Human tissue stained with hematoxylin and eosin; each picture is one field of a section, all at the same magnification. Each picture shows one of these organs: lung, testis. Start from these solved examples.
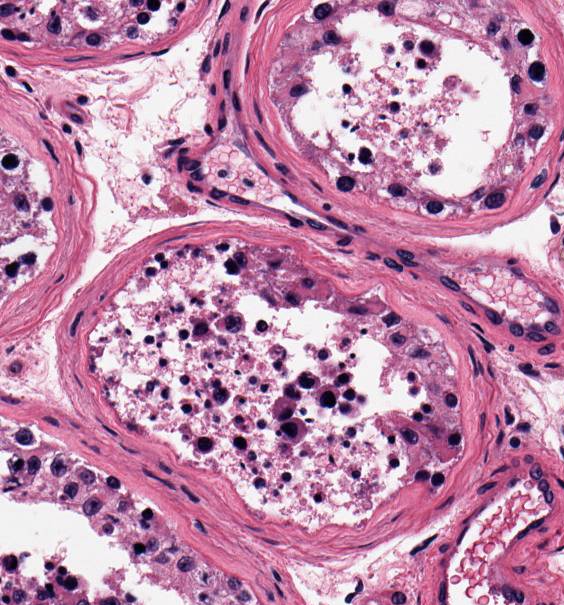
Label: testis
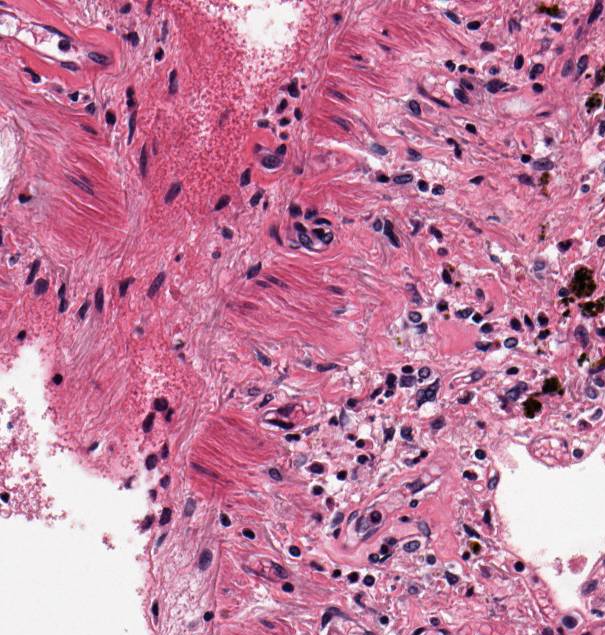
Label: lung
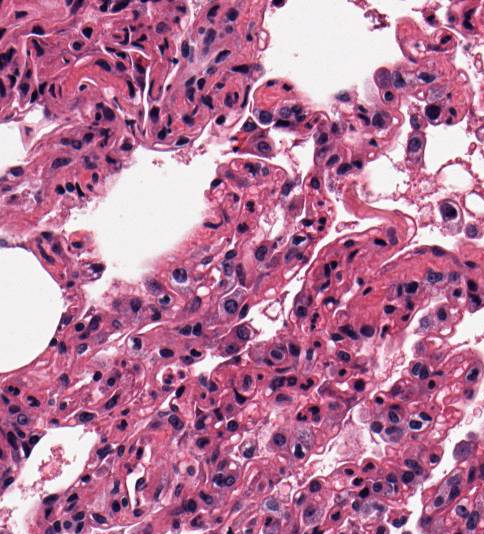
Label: lung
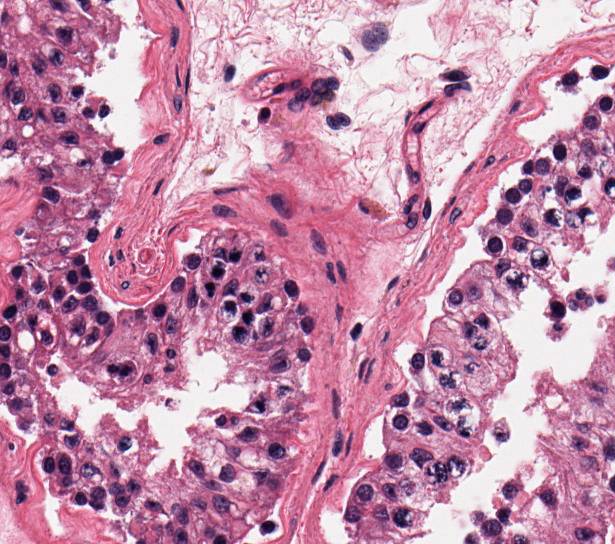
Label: testis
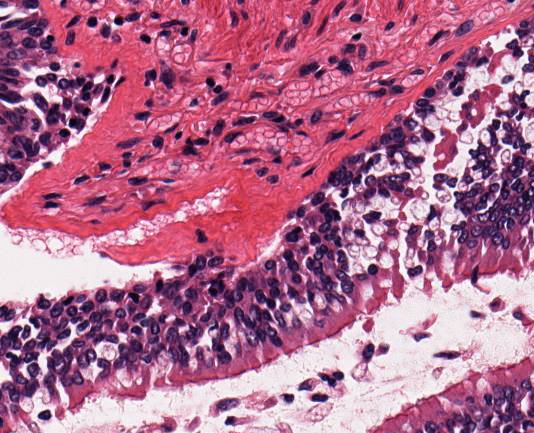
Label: lung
